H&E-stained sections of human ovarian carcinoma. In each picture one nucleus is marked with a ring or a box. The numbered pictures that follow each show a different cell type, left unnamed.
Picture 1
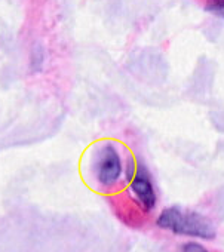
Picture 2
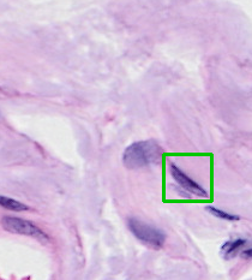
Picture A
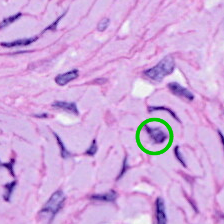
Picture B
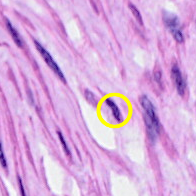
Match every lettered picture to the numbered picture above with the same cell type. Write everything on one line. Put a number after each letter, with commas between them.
A 2, B 2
